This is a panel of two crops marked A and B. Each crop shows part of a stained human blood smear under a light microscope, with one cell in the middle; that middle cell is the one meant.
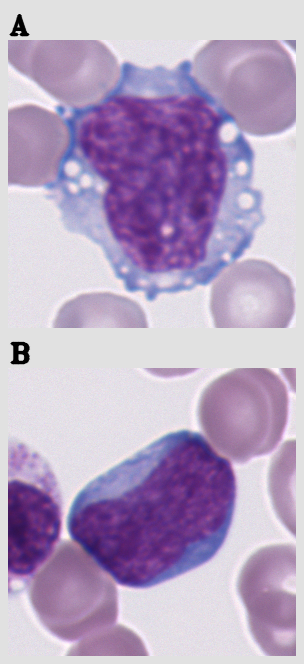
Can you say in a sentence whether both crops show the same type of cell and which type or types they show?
Yes, the cells at the centre of the two crops are both myeloblasts.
